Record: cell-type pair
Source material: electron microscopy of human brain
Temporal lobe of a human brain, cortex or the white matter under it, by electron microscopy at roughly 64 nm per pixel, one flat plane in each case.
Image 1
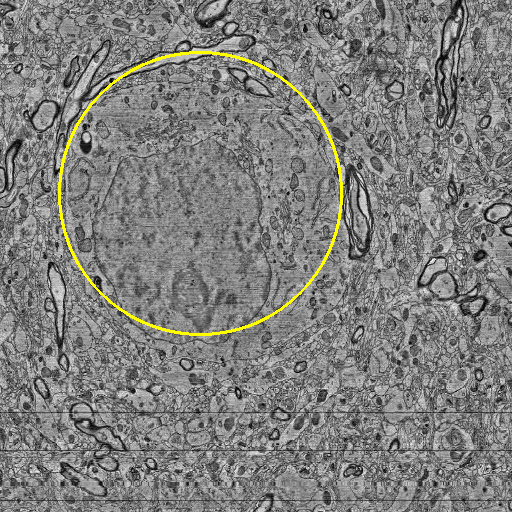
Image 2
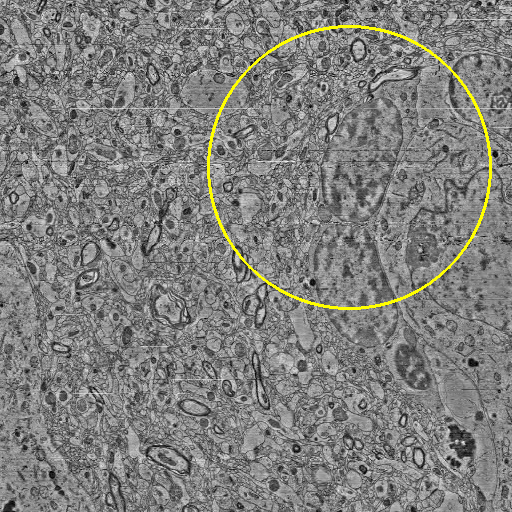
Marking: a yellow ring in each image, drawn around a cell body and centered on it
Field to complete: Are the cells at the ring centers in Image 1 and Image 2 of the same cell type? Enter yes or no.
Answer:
no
